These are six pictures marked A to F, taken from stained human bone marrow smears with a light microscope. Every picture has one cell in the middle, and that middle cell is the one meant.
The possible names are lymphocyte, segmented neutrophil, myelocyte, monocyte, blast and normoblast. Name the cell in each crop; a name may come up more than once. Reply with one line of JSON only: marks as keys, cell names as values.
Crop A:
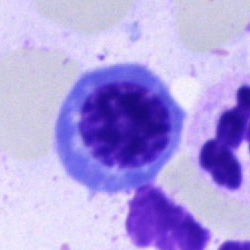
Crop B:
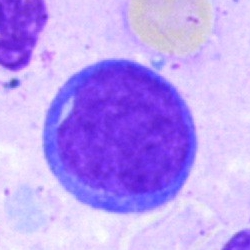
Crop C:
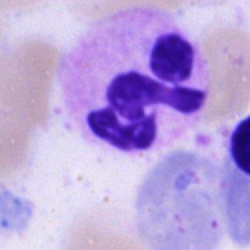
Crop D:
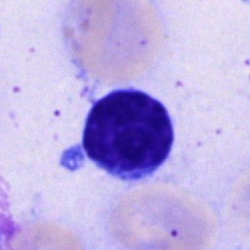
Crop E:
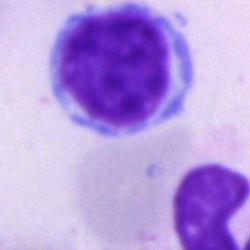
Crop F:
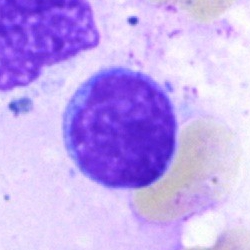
{"A": "normoblast", "B": "blast", "C": "segmented neutrophil", "D": "lymphocyte", "E": "lymphocyte", "F": "lymphocyte"}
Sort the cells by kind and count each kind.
lymphocyte: 3
normoblast: 1
blast: 1
segmented neutrophil: 1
